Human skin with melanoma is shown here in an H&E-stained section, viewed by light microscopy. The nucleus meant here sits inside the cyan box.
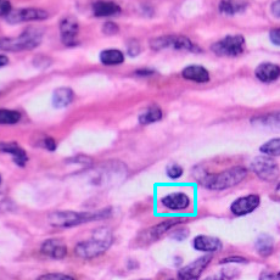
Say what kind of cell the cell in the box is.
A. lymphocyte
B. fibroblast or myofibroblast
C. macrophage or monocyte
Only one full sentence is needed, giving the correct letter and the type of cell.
Under option A, the cell in the box is a lymphocyte, which is the correct identification.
